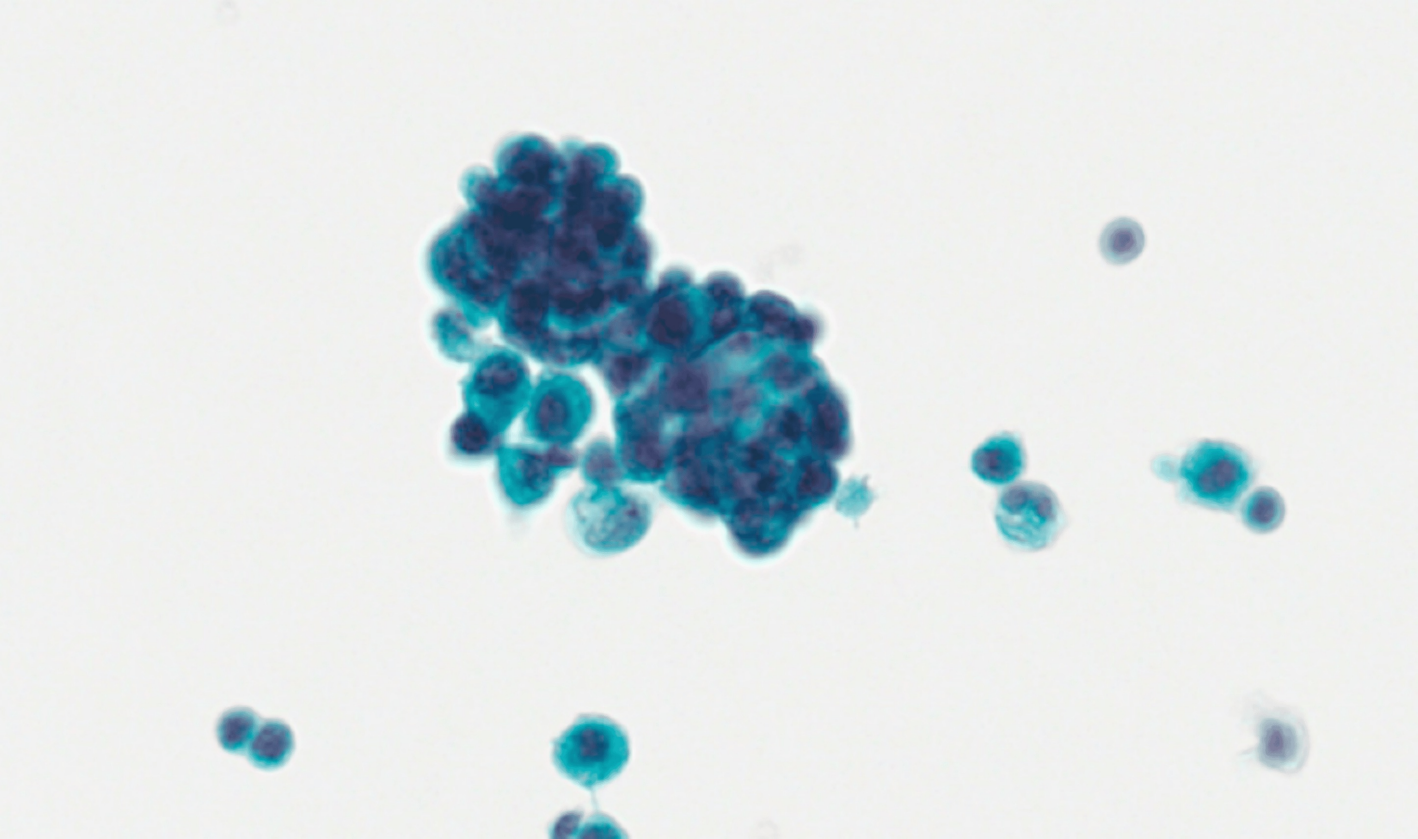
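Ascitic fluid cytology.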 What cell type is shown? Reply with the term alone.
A: carcinoma cells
